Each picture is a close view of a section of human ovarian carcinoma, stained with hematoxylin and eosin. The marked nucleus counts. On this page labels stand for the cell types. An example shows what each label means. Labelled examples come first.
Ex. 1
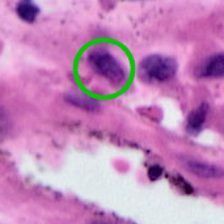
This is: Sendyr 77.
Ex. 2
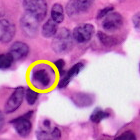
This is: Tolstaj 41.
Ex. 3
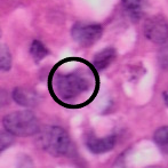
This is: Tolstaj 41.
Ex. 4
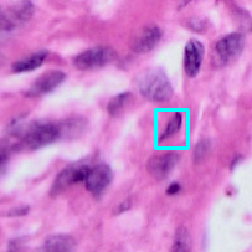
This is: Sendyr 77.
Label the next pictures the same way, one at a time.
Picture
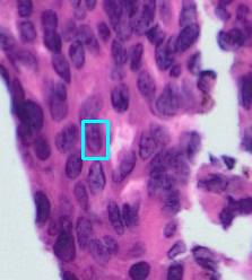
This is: Tolstaj 41.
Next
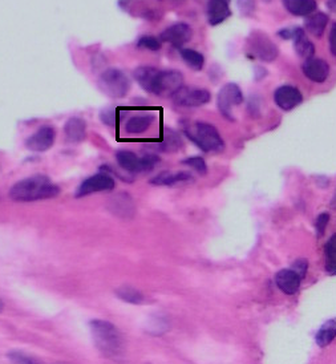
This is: Tolstaj 41.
